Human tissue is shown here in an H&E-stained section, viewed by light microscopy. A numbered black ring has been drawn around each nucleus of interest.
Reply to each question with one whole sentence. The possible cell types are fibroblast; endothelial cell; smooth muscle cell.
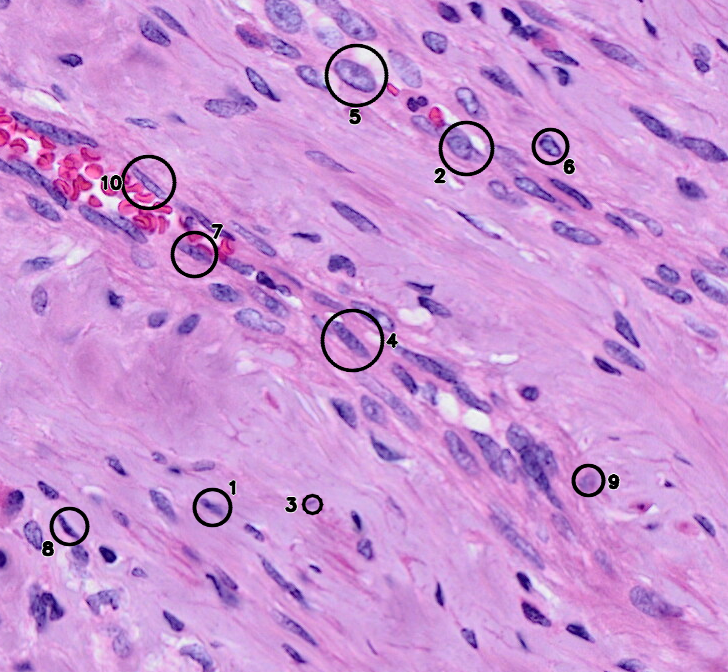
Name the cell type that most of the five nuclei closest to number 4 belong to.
The majority of the five nuclei closest to number 4 belong to smooth muscle cells.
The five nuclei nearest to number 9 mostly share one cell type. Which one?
Of the five nuclei nearest to number 9, most belong to endothelial cells.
